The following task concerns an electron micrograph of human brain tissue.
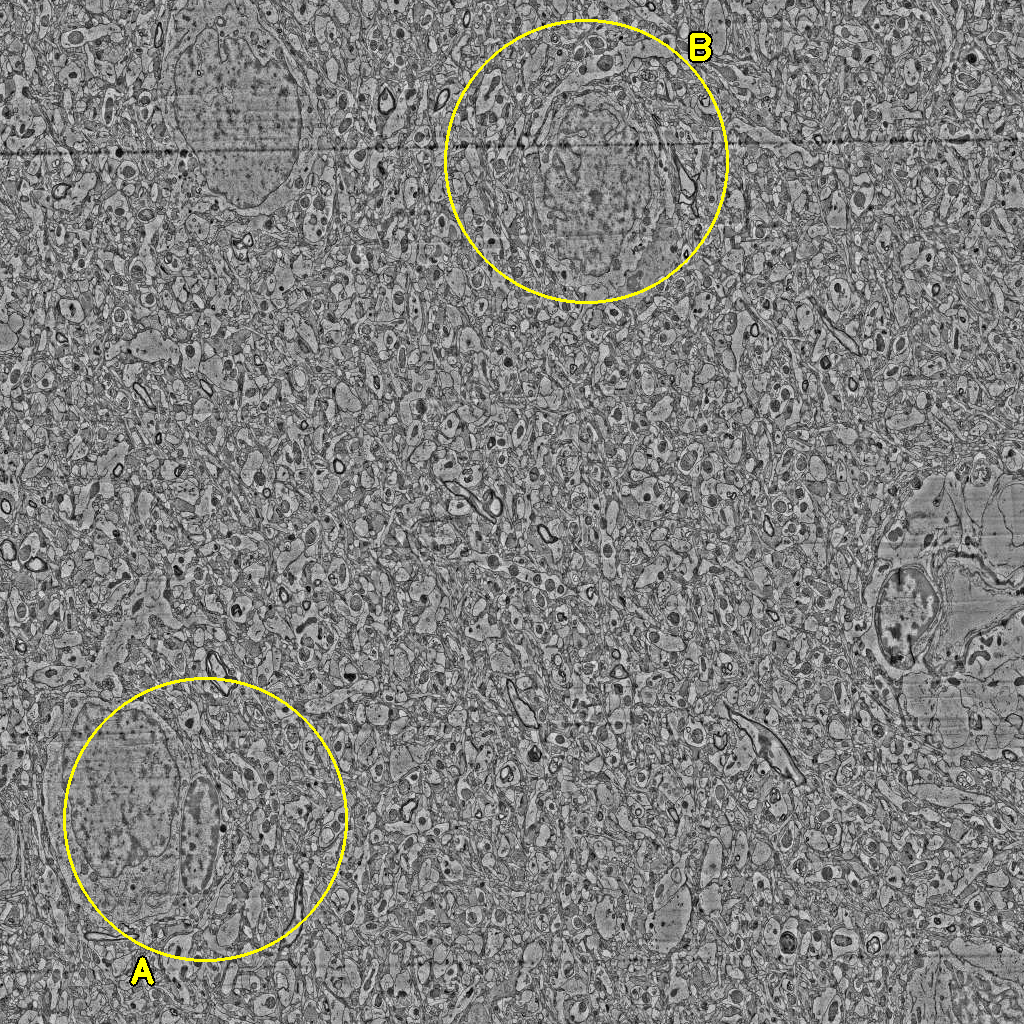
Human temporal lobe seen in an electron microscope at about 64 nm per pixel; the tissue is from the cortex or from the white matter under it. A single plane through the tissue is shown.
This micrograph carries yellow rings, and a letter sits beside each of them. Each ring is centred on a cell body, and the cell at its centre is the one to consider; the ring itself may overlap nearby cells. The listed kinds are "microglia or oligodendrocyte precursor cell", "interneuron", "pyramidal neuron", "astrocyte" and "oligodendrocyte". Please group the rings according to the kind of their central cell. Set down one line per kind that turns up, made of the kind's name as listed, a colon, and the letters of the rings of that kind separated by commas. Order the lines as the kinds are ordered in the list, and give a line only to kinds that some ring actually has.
microglia or oligodendrocyte precursor cell: A
interneuron: B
